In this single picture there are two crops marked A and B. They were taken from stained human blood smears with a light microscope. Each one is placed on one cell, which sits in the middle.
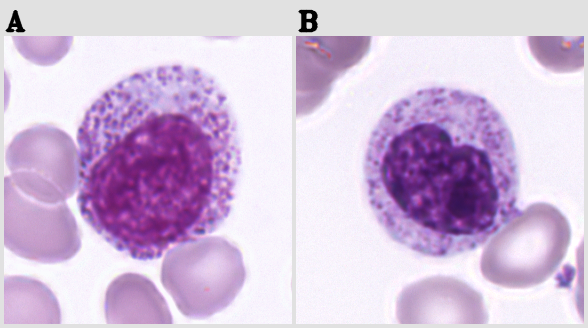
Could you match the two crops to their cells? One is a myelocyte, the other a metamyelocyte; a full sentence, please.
The cell of crop A is a myelocyte; that of crop B is a metamyelocyte.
